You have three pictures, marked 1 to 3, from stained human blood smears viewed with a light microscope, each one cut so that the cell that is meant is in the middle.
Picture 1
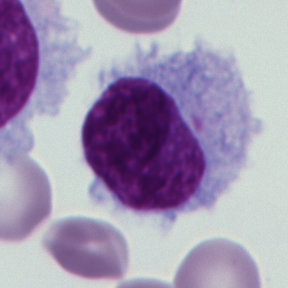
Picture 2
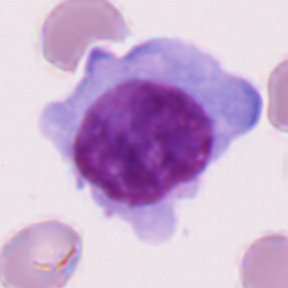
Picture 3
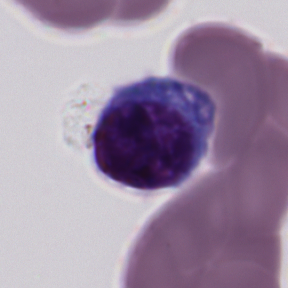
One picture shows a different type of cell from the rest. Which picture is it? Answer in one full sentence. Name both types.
The different one is picture 1; it shows a hairy cell, whereas all the others show plasma cells.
